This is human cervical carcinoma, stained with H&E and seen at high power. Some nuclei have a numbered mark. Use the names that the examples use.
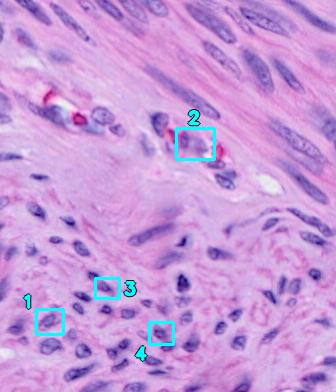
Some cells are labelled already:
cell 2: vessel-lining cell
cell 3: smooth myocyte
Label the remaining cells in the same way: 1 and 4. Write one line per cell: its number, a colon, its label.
1: smooth myocyte
4: smooth myocyte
